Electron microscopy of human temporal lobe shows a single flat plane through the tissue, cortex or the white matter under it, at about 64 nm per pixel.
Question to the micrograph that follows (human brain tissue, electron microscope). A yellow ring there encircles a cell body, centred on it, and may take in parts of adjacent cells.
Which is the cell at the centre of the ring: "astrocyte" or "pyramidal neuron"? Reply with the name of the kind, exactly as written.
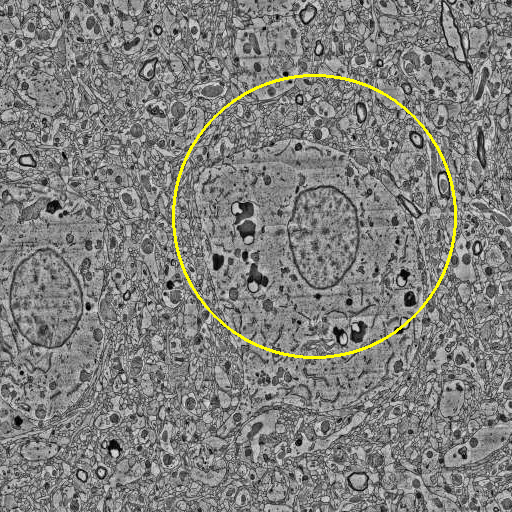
pyramidal neuron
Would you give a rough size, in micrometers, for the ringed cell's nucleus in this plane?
In this plane the nucleus measures roughly 7 by 5 micrometres.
